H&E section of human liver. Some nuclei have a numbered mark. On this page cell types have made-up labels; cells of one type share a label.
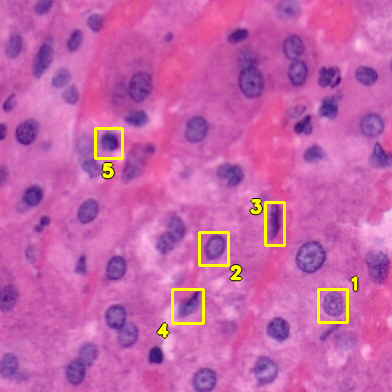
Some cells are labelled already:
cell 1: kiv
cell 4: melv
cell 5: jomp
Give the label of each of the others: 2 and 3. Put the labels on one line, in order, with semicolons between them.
kiv; melv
